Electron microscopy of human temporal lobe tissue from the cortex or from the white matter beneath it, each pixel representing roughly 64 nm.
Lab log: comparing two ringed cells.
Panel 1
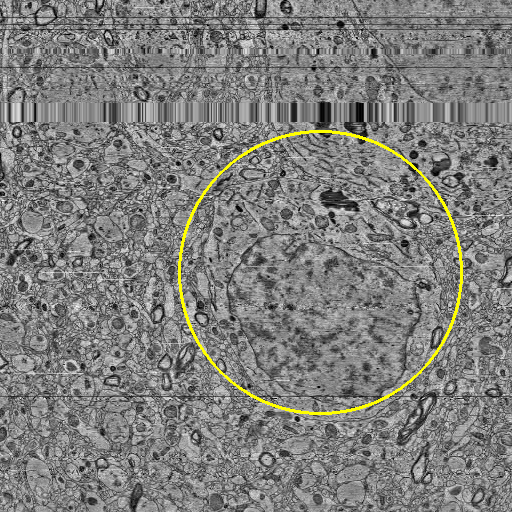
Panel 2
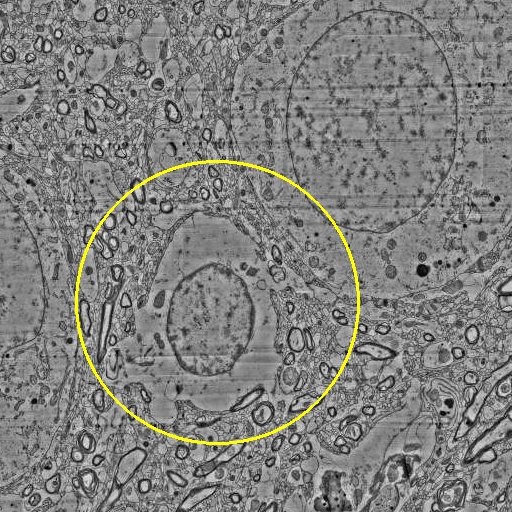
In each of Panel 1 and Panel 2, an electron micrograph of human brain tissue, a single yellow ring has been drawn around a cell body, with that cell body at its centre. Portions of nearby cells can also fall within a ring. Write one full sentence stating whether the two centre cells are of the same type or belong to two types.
The cells at the ring centres in Panel 1 and Panel 2 belong to two types.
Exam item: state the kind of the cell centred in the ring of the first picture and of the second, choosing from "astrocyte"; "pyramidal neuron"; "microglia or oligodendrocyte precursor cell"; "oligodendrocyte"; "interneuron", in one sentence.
The first picture shows an interneuron at the ring centre and the second shows an astrocyte.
